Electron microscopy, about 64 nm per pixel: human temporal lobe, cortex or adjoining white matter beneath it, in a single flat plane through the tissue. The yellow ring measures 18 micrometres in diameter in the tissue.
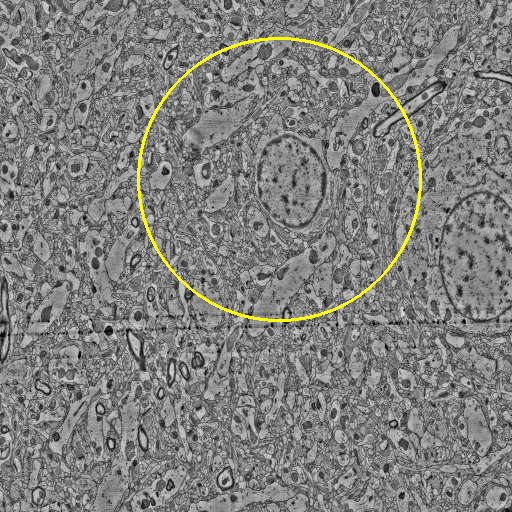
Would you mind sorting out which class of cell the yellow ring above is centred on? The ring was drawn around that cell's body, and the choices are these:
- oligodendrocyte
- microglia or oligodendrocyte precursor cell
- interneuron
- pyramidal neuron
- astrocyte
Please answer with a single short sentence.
This is the cell body of a microglial cell or oligodendrocyte precursor cell.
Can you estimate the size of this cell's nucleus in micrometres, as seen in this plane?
The ringed cell's nucleus measures approximately 6 by 4 micrometres in this plane.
